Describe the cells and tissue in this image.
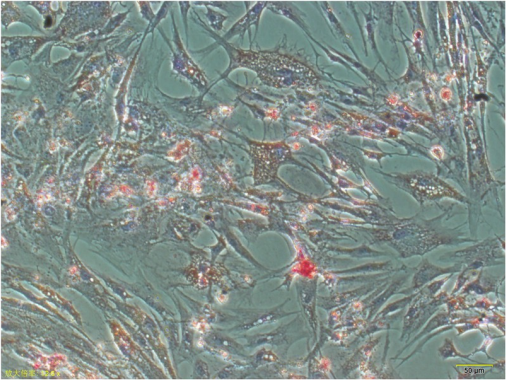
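Cultured adipocytes in a monolayer dominated by long spindle-shaped and flattened cells with pale cytoplasm and oval nuclei. Some cells contain many small refractile brownish granules in the cytoplasm. Red-stained droplets are few and small, scattered in a minority of cells, with a single bright red focus near the centre. Cells overlap in streams and sheets; rounded cells are scattered among the spindle cells.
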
